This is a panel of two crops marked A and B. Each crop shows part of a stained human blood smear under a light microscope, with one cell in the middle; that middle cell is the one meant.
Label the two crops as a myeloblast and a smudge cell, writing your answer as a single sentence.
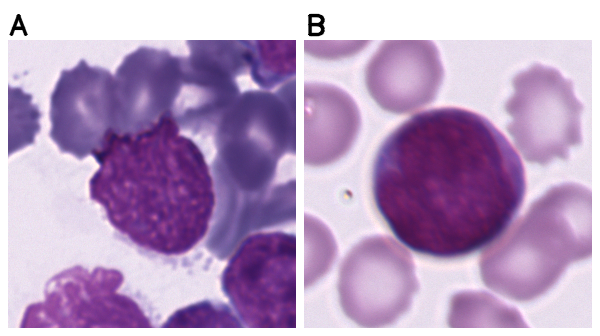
Crop B shows a myeloblast, and crop A shows a smudge cell.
